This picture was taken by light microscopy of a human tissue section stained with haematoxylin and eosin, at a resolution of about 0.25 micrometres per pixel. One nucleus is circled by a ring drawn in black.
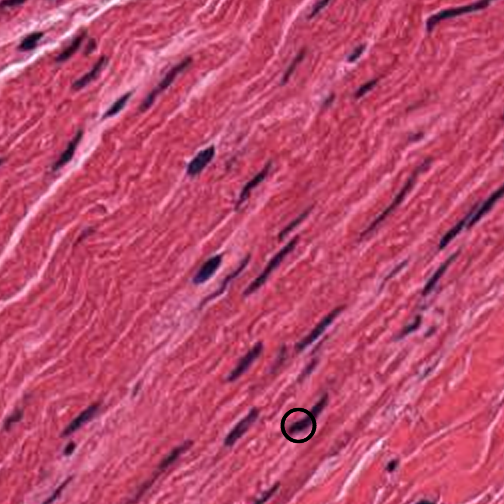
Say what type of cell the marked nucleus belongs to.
smooth muscle cell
